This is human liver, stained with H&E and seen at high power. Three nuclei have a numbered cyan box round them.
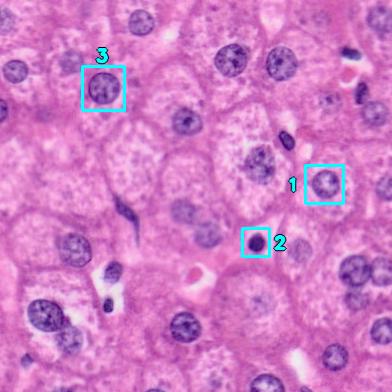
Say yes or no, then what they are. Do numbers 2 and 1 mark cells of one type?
No, cell 1 is a hepatocyte, and cell 2 is a lymphocyte.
